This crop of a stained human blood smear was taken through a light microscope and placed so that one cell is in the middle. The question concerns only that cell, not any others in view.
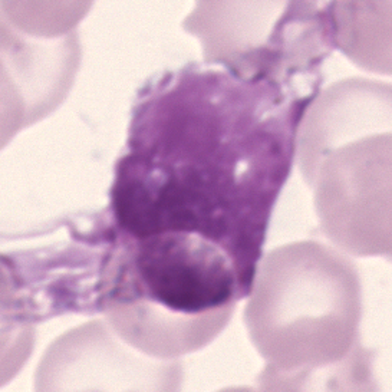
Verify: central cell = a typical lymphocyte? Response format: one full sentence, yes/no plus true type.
No, the cell at the centre is a smudge cell, which rules out a typical lymphocyte.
